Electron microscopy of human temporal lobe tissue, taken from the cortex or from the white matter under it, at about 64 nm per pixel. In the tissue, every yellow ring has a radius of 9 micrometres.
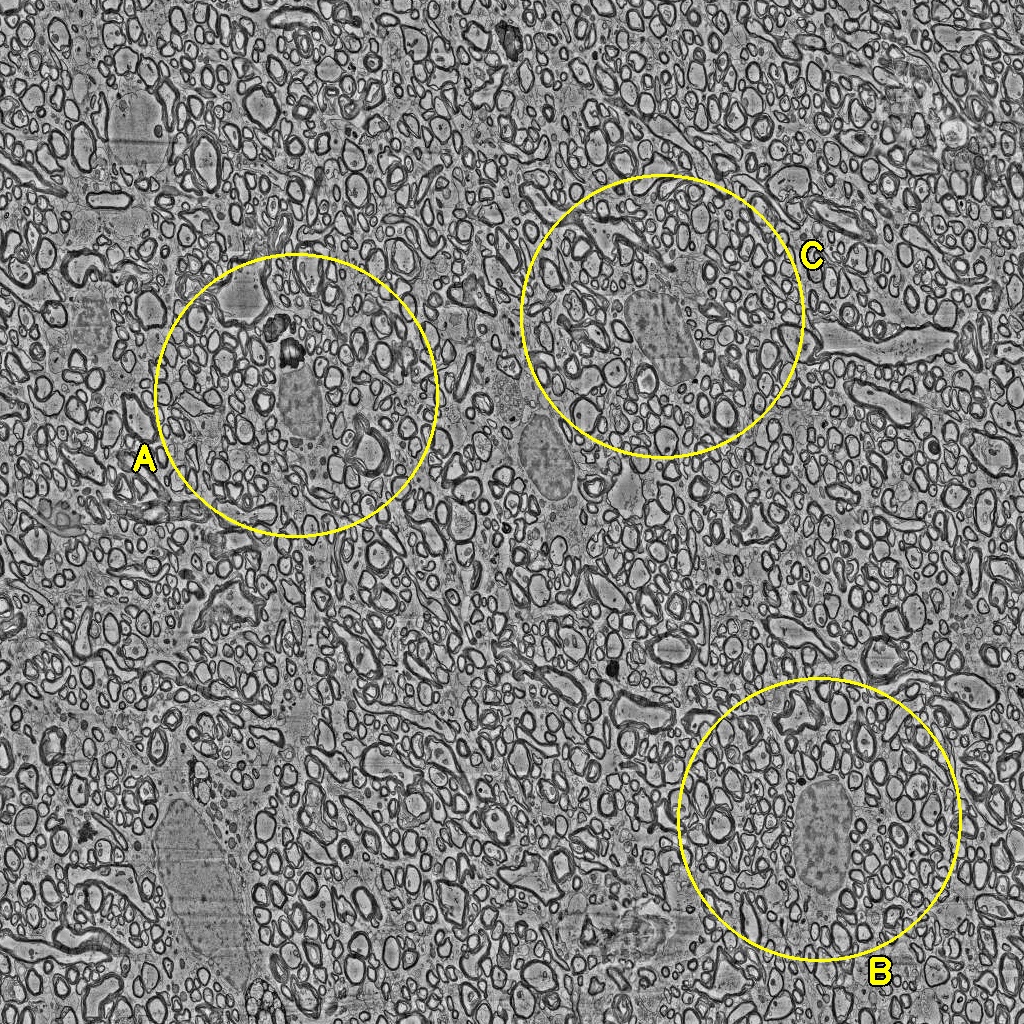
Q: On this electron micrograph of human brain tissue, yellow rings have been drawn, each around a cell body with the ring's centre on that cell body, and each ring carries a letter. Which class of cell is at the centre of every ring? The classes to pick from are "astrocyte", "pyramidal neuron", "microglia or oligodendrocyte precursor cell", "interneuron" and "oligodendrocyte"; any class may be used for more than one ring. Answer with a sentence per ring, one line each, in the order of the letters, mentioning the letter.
The centre of ring A is occupied by an oligodendrocyte.
The centre of ring B is occupied by an oligodendrocyte.
The centre of ring C is occupied by a microglial cell or oligodendrocyte precursor cell.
